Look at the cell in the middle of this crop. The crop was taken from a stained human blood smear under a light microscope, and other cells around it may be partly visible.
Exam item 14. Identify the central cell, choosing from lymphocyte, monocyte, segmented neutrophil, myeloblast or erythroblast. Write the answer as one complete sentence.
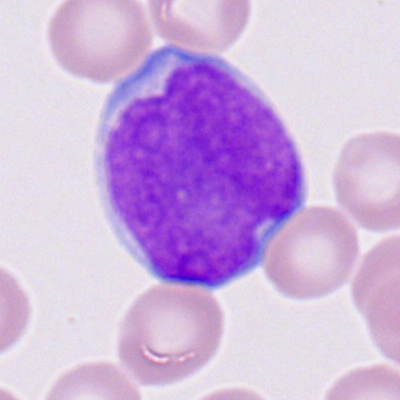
The cell marked by its central position in the crop is a myeloblast.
